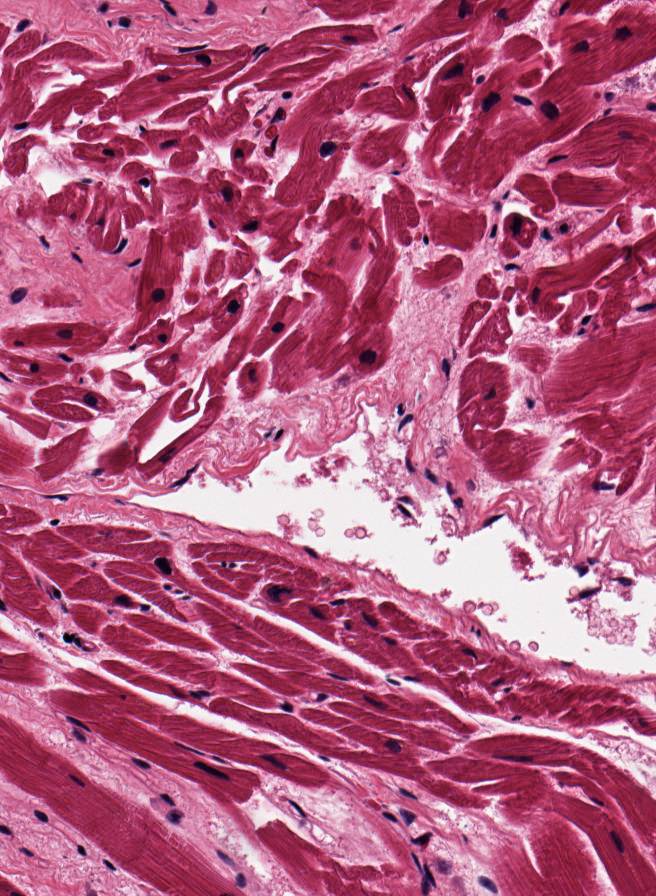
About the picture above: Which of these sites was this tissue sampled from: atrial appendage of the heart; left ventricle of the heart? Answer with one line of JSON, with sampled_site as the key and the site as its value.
{"sampled_site": "left ventricle of the heart"}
